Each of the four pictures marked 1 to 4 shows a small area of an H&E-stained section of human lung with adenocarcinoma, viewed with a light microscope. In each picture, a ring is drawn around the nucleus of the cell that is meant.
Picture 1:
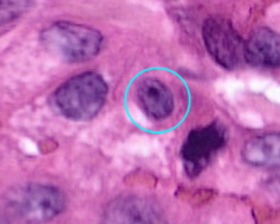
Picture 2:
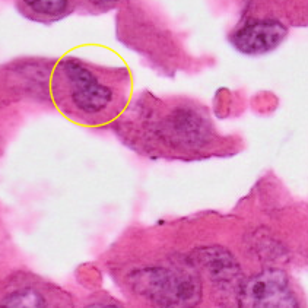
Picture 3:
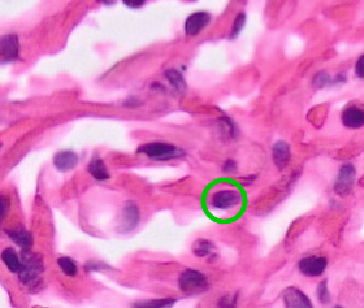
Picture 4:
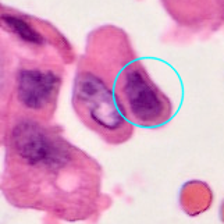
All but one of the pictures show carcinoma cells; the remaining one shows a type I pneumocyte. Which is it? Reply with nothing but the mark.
3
